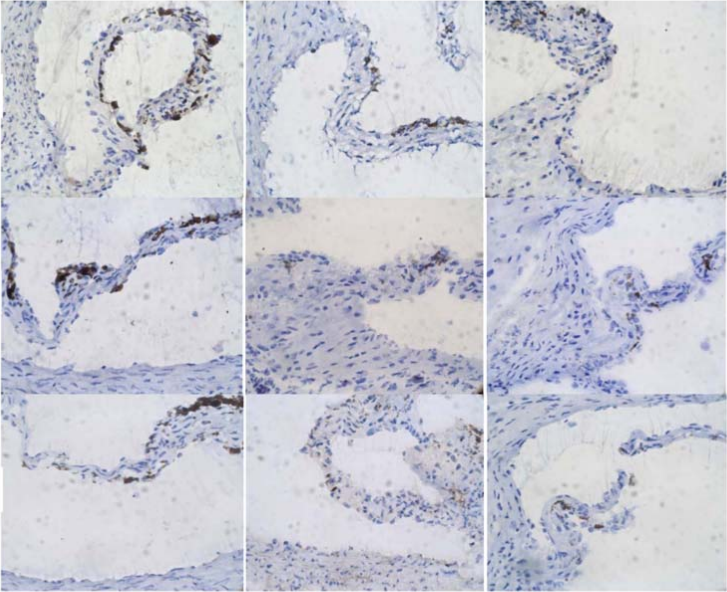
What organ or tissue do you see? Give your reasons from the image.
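Thin, curved leaflets of tissue project into open, empty lumens. The leaflets are a few cell layers thick with elongated nuclei. So: aortic valves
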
